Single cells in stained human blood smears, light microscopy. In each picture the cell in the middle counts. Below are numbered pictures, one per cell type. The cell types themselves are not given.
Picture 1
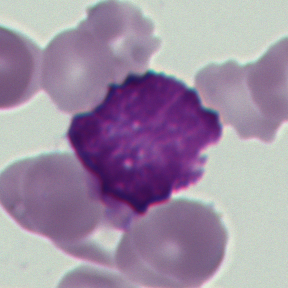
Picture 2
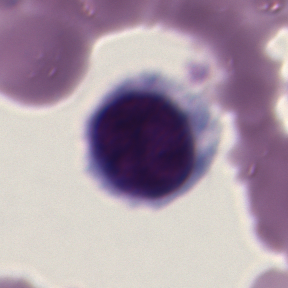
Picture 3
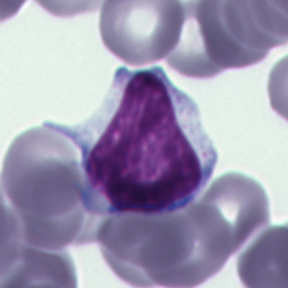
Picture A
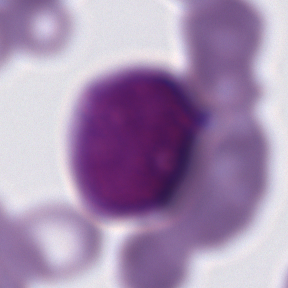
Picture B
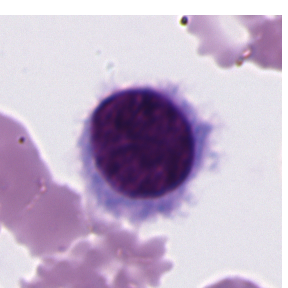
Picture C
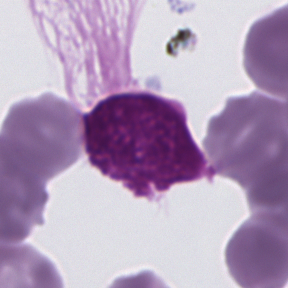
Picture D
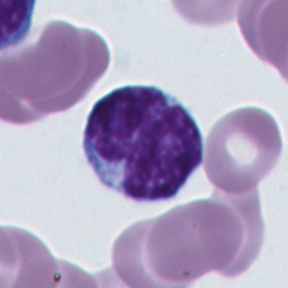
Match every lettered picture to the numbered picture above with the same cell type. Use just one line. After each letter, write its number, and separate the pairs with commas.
A 1, B 2, C 1, D 3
